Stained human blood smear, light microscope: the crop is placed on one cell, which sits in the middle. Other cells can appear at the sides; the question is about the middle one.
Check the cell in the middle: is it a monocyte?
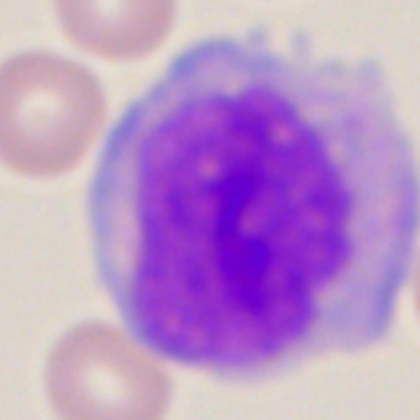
yes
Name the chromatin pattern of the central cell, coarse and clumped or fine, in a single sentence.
Coarse clumps are absent, and the chromatin is fine throughout.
